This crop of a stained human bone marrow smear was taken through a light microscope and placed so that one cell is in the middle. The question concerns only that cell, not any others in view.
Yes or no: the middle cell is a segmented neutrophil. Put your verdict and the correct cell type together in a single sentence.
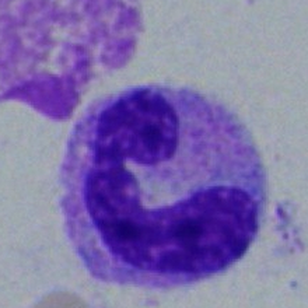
No, the one in the center is not a segmented neutrophil; it is a band neutrophil.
